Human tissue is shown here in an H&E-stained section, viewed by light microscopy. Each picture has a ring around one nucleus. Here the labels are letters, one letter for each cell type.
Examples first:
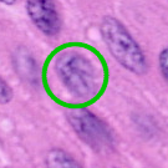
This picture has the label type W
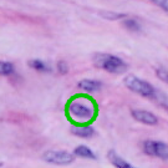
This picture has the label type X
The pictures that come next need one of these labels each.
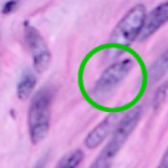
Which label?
type X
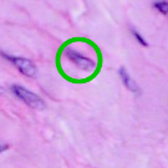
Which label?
type X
